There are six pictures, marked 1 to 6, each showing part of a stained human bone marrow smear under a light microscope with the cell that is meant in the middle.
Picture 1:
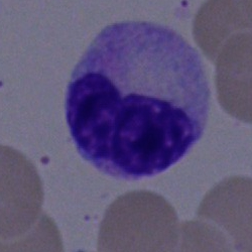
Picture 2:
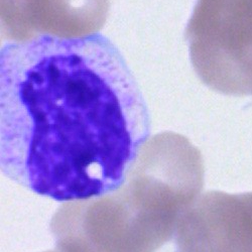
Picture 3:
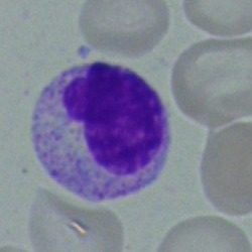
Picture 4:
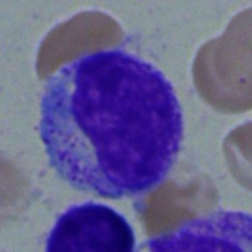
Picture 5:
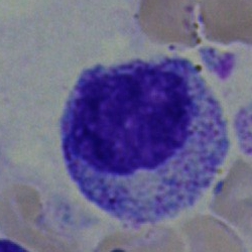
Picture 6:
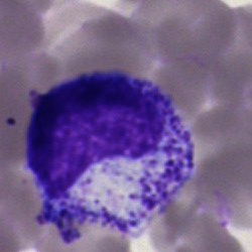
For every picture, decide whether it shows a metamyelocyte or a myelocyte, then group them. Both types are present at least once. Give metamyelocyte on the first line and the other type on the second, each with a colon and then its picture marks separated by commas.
metamyelocyte: 1, 2, 6
myelocyte: 3, 4, 5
